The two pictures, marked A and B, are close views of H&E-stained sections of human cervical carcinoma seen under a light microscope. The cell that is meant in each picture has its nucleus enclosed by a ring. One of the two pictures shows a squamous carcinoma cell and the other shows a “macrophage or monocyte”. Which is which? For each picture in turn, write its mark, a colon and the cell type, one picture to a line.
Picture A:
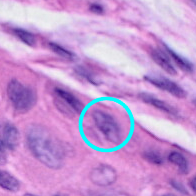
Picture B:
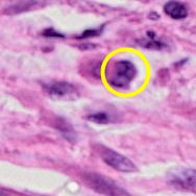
A: squamous carcinoma cell
B: macrophage or monocyte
